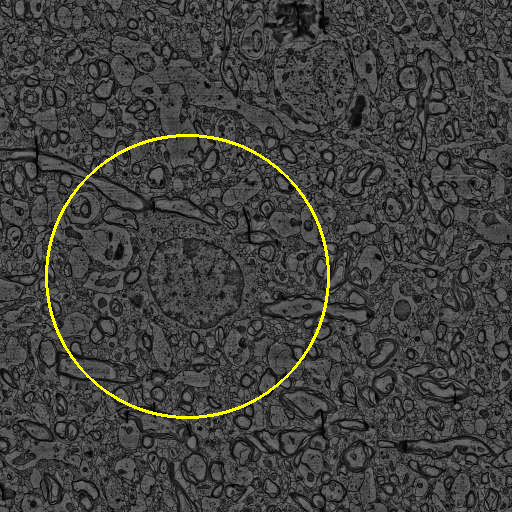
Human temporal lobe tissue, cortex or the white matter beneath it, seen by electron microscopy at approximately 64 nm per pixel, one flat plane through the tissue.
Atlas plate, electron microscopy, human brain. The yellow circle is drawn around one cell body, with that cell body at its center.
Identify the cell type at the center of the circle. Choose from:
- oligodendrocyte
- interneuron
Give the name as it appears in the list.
oligodendrocyte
